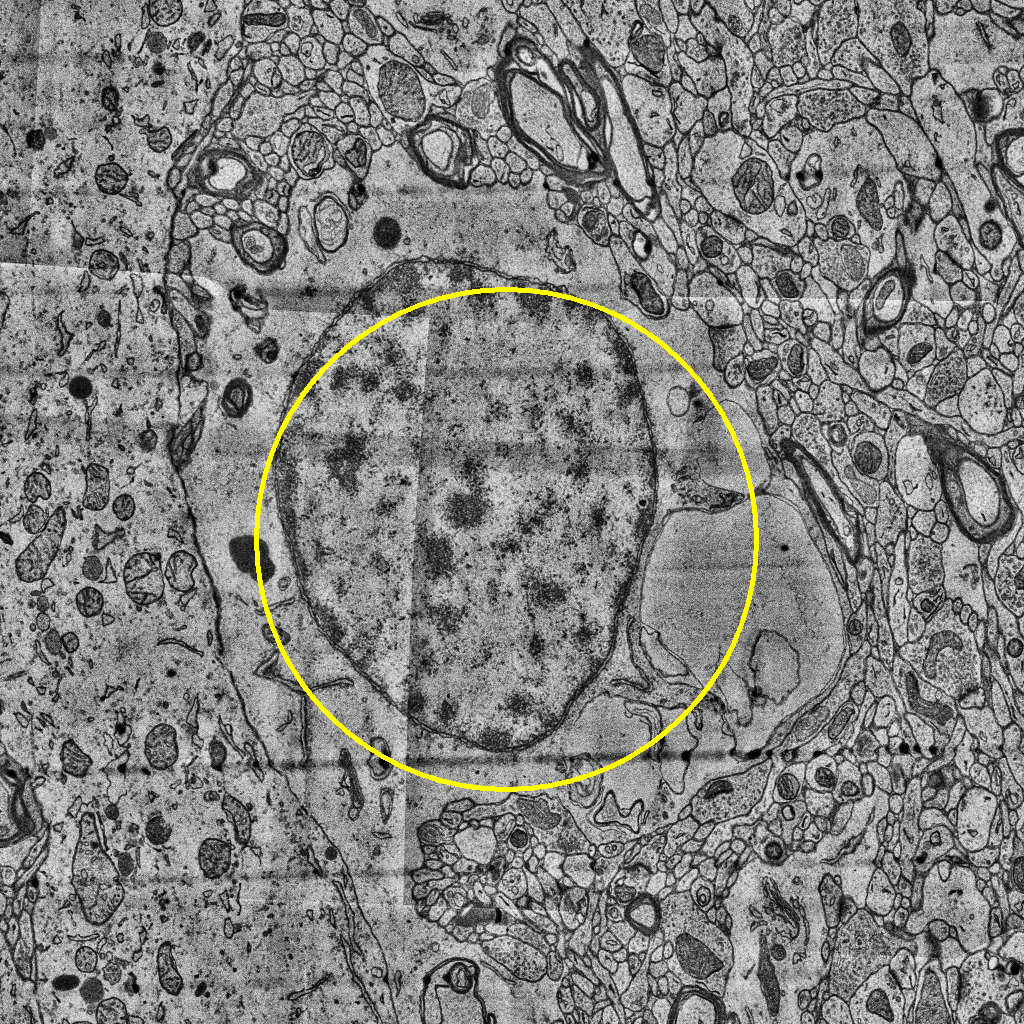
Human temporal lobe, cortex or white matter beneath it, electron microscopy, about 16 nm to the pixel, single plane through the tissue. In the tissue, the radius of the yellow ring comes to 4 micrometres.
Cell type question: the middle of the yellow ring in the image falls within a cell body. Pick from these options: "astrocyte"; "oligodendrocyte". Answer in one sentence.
The cell body at the center of the ring belongs to an astrocyte.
